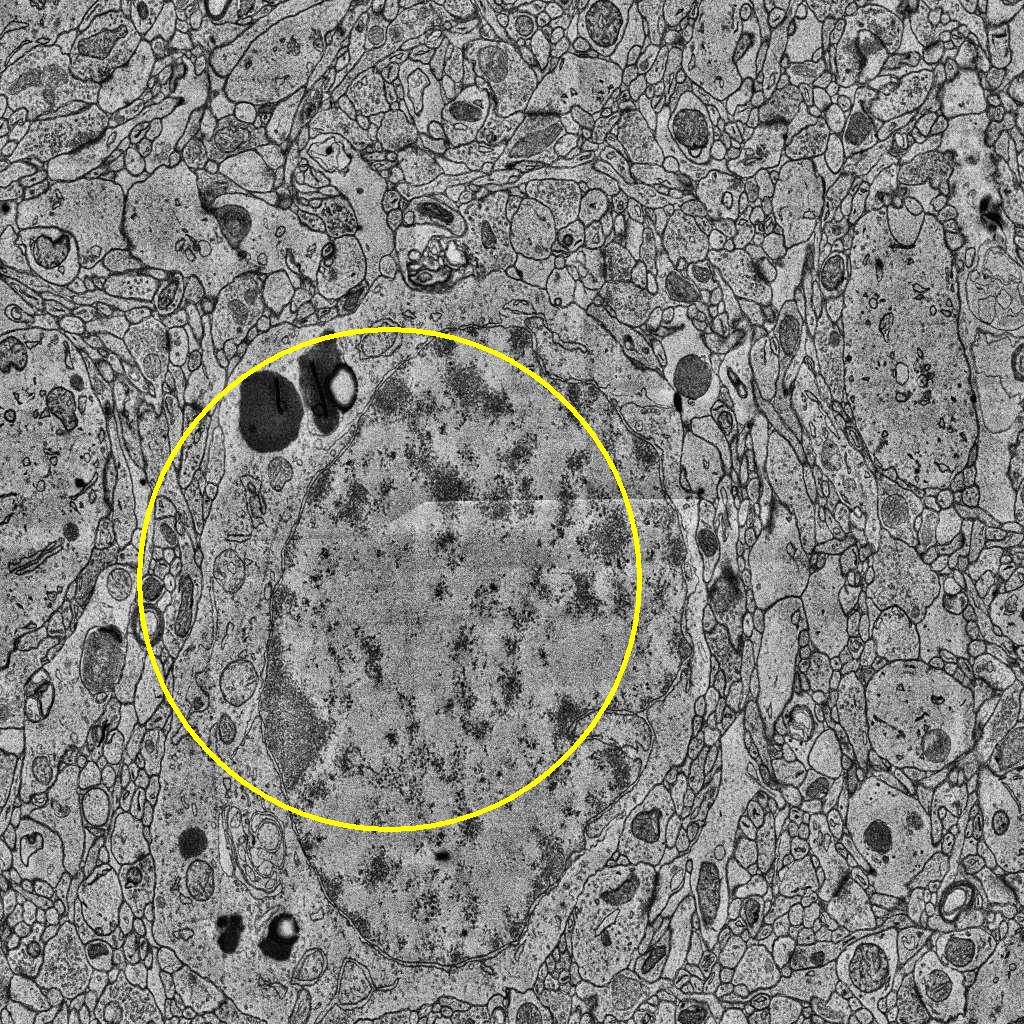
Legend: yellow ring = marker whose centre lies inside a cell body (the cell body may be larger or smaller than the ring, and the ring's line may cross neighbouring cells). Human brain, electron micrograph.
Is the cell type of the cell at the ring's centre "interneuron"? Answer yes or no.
yes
